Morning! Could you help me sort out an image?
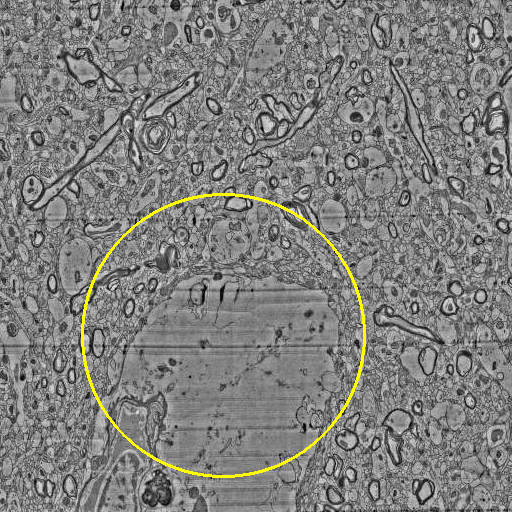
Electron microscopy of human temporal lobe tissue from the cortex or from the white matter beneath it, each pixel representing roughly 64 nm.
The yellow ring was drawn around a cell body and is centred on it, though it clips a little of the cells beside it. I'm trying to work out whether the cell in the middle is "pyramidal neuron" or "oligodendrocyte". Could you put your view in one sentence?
The ringed cell body is that of an oligodendrocyte.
